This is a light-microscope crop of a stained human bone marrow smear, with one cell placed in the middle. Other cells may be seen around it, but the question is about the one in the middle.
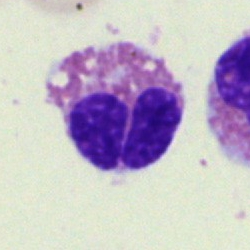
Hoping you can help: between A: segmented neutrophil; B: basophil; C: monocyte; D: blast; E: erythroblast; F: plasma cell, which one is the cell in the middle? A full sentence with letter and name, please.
Option B is right in identifying the central cell as a basophil.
